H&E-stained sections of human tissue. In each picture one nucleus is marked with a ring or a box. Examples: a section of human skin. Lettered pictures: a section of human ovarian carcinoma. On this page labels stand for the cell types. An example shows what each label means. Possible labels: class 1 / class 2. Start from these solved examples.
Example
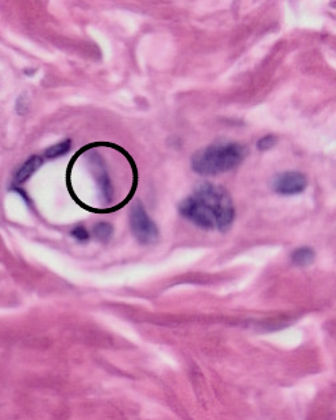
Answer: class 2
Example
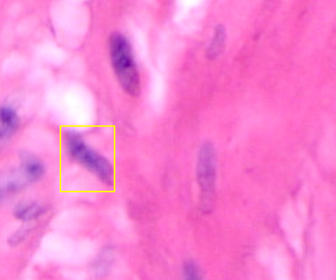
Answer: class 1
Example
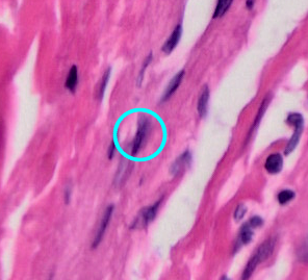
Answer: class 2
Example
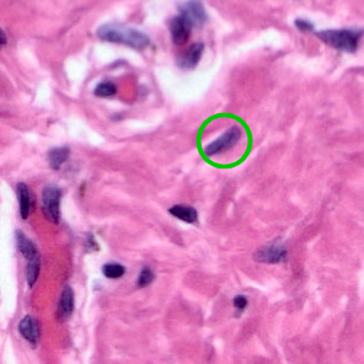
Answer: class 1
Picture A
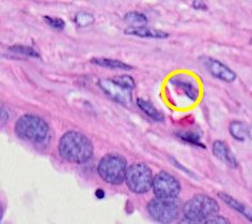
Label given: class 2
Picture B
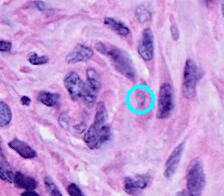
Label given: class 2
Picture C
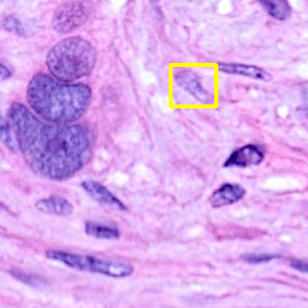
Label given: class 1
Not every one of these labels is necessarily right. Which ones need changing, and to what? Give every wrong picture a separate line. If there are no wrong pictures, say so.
B is labelled class 2; correct label: class 1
